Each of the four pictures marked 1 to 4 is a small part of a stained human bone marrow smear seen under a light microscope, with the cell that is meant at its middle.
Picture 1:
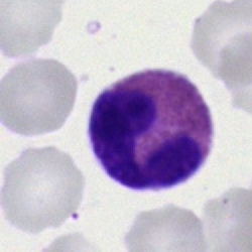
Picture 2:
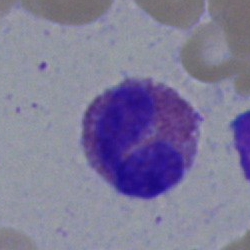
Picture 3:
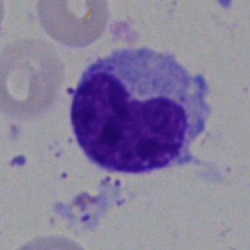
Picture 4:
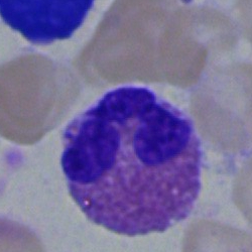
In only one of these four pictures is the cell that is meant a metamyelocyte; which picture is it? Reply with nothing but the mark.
3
